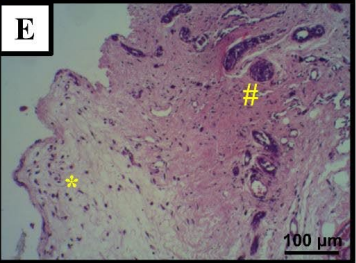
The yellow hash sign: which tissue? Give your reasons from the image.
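The hash sign lies in pink fibrous tissue. Small vessels and duct-like structures lie scattered in this pink tissue.
Fibrovascular stroma.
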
